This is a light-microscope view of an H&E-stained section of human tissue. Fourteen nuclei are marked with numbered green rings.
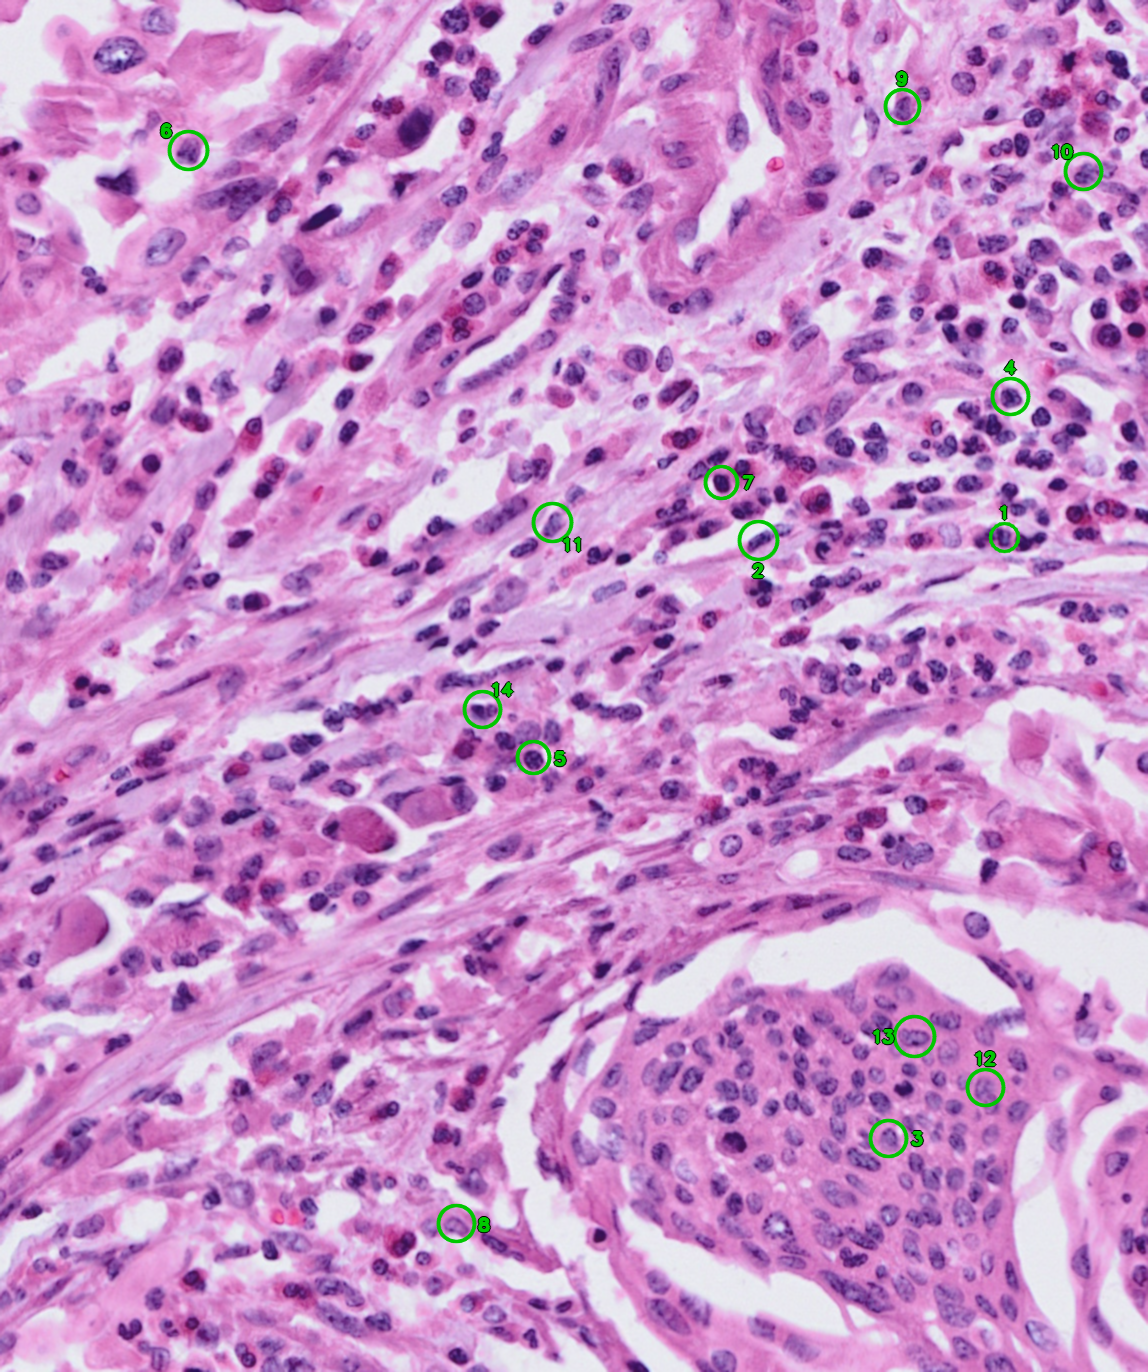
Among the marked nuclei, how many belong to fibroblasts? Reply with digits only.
0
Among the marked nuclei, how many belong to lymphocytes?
8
